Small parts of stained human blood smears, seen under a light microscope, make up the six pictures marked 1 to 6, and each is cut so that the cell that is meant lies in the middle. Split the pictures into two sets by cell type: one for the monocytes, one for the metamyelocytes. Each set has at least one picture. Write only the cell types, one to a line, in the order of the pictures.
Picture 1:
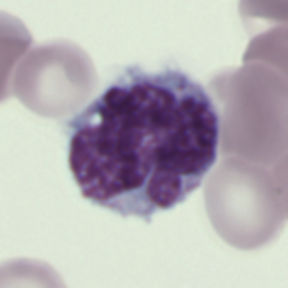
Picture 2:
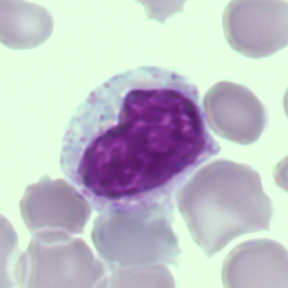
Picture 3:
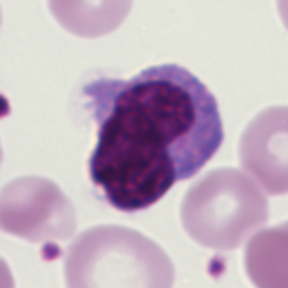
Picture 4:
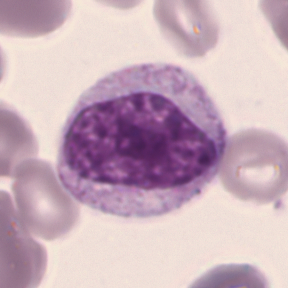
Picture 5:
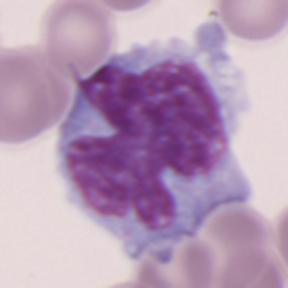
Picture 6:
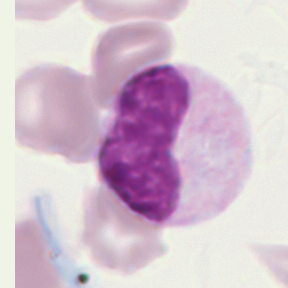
monocyte
metamyelocyte
monocyte
metamyelocyte
monocyte
metamyelocyte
